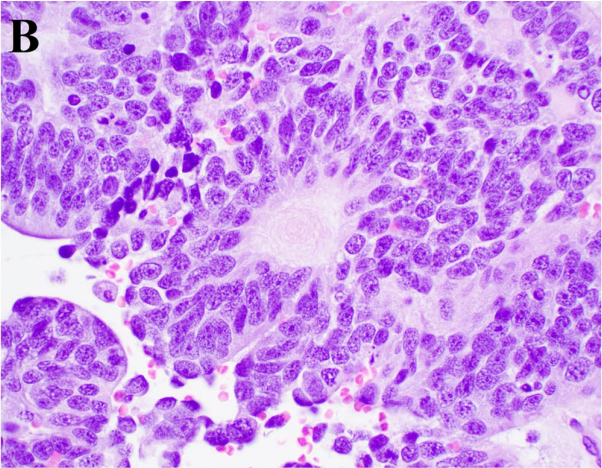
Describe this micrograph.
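Neoplastic cells form a rosette around a central core of pale pink fibrillar material resembling neuroparenchyma. The nuclei are oriented radially, palisading around the fibrillar centre. Scattered dark, condensed nuclei and mitotic figures are present. Red blood cells lie in narrow spaces at the edges of the cell groups.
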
